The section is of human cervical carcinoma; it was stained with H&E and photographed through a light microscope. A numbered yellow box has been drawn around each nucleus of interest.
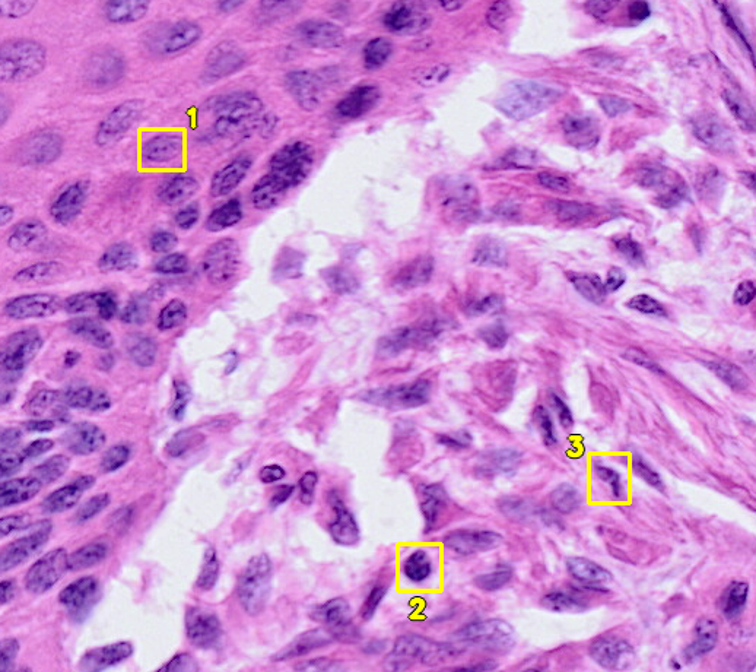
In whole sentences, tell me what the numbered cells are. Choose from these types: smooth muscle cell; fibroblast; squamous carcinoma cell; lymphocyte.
Cell 1 is a squamous carcinoma cell, cell 2 is a lymphocyte and cell 3 is a fibroblast.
